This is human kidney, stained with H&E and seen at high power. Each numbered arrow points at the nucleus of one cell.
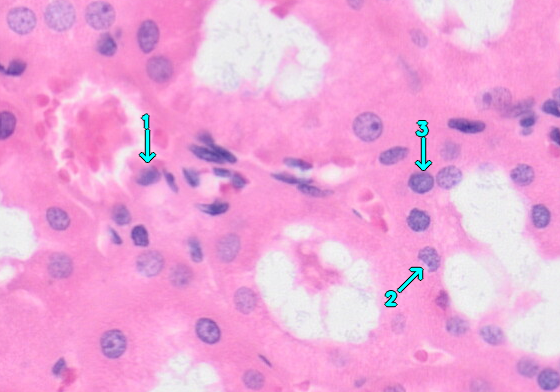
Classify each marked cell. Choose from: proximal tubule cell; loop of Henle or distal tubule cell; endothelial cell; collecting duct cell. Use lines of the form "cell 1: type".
cell 1: endothelial cell
cell 2: loop of Henle or distal tubule cell
cell 3: loop of Henle or distal tubule cell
